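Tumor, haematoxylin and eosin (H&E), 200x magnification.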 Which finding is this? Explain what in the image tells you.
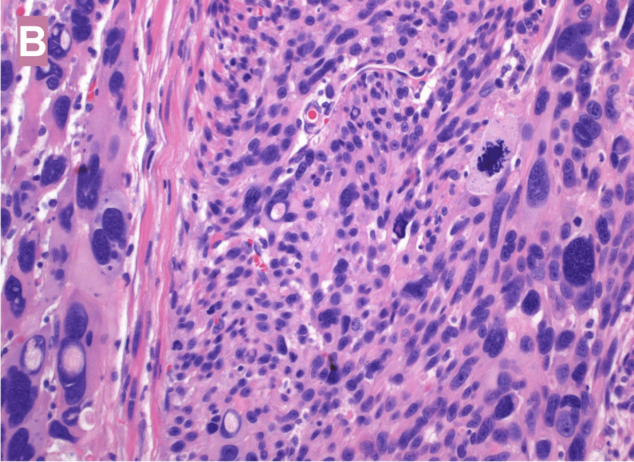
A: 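Nuclei vary greatly in size, from small oval to very large. Some very large, dark, irregular nuclei are present. Some cells have more than one nucleus.
Hence: prominent nuclear pleomorphism.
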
